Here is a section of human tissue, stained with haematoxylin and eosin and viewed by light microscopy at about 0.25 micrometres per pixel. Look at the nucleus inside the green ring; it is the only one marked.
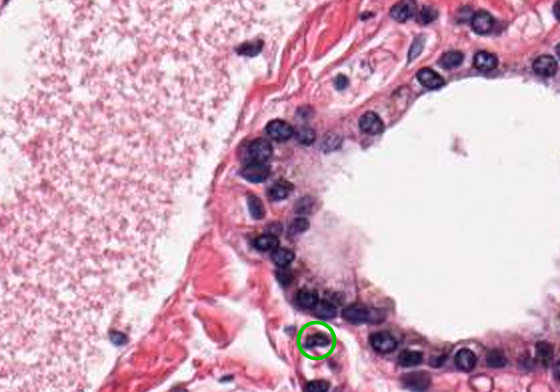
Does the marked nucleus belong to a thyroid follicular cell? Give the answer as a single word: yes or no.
no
